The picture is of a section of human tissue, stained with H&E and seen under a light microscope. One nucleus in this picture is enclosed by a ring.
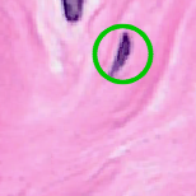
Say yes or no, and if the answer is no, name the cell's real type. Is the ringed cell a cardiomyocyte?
No, it is a fibroblast.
